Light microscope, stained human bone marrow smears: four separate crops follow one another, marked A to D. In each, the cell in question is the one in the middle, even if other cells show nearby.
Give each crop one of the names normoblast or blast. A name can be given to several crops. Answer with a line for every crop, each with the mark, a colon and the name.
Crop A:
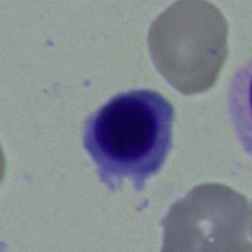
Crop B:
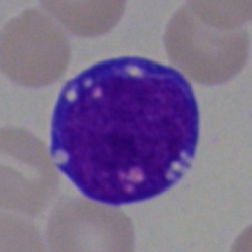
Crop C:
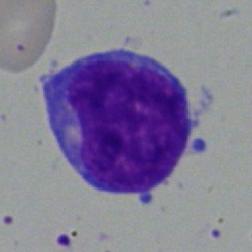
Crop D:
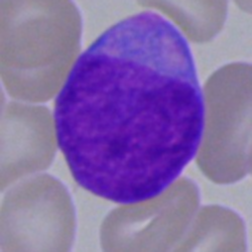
A: normoblast
B: blast
C: blast
D: blast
